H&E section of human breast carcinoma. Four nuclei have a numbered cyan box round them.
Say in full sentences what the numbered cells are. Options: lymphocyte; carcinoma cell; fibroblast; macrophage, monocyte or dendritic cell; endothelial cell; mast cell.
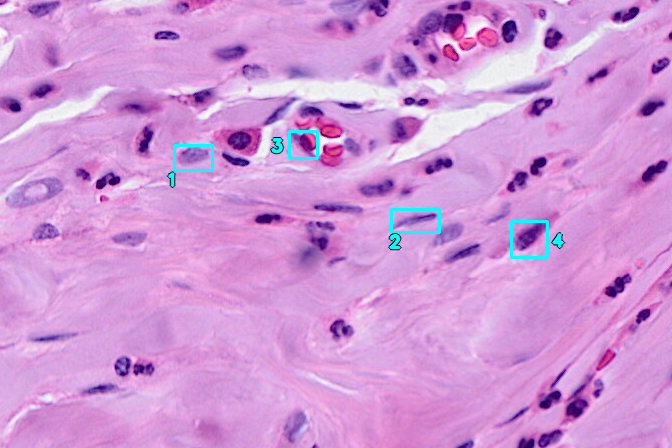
Cell 1 is a fibroblast, cell 2 is a fibroblast, cell 3 is an endothelial cell and cell 4 is a mast cell.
